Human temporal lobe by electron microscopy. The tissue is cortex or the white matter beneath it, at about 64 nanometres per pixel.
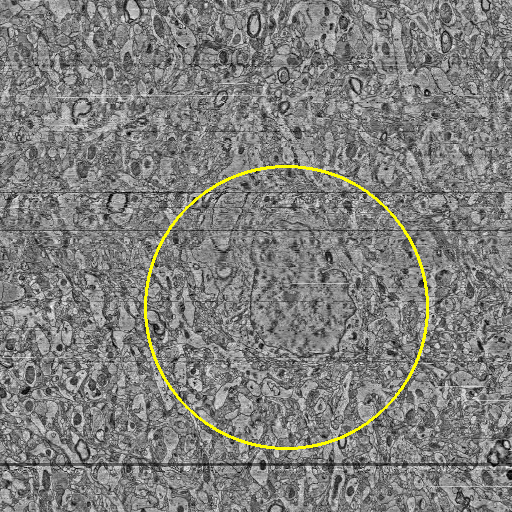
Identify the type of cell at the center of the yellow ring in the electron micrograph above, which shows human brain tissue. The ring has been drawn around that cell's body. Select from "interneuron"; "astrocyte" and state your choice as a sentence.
The yellow ring is centered on the body of an interneuron.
